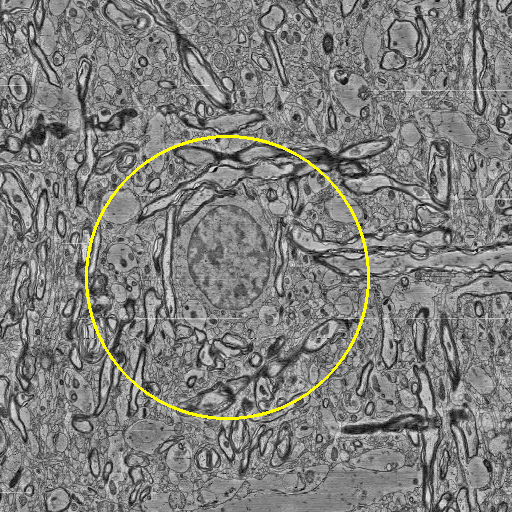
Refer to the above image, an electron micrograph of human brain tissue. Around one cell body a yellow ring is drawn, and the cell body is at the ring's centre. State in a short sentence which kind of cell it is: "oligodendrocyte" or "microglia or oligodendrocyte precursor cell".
The centre of the ring falls on an oligodendrocyte.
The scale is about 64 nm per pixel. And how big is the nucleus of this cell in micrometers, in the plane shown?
Roughly 7 micrometres by 5 micrometres, in this plane.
